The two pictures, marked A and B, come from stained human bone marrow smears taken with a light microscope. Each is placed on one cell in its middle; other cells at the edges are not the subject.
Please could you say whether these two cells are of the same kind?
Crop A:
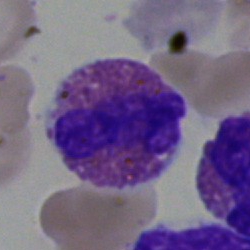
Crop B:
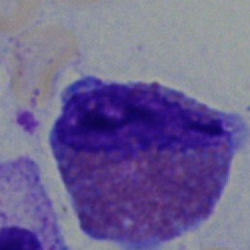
yes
